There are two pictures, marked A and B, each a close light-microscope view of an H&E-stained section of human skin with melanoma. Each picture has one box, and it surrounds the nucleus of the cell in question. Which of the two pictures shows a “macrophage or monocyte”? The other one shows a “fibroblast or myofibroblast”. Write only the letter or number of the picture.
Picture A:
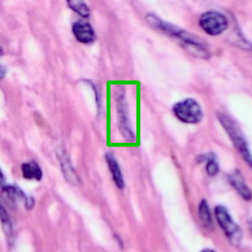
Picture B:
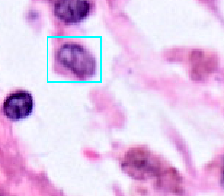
B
